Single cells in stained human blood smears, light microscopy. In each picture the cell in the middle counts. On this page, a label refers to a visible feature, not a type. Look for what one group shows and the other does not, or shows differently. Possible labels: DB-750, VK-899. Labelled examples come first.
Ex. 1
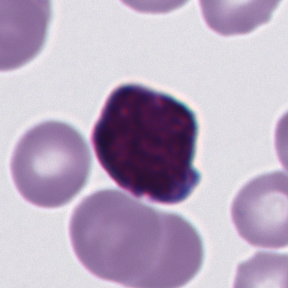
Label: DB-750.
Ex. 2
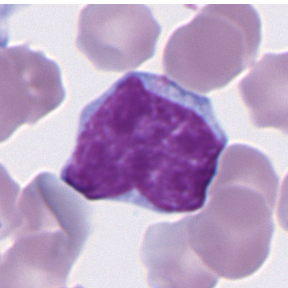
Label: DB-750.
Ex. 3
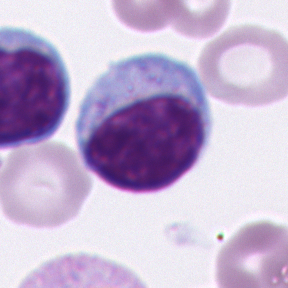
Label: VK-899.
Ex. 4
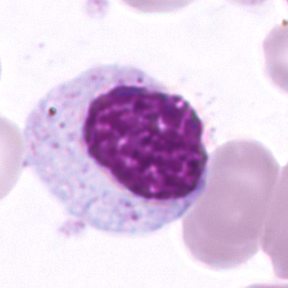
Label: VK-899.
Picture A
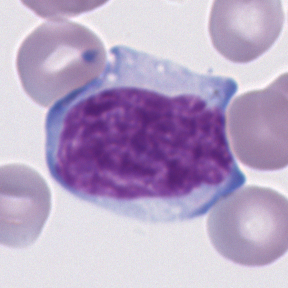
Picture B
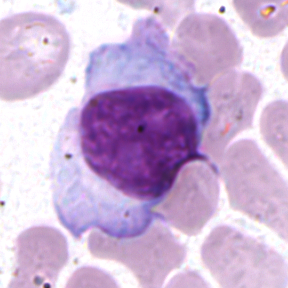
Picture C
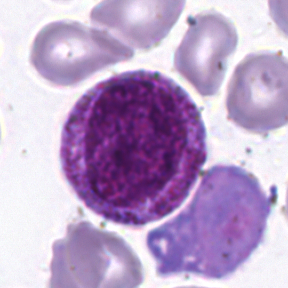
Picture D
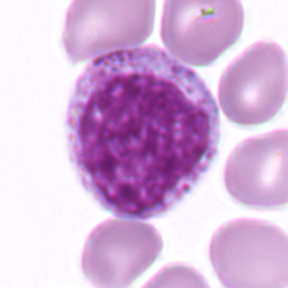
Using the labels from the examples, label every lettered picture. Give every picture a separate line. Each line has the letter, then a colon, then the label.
A: VK-899.
B: VK-899.
C: DB-750.
D: DB-750.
